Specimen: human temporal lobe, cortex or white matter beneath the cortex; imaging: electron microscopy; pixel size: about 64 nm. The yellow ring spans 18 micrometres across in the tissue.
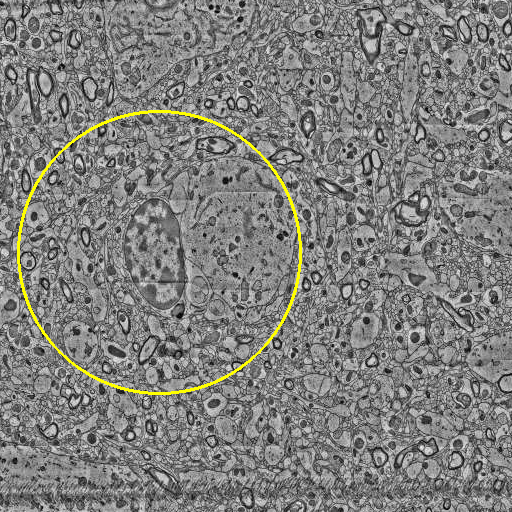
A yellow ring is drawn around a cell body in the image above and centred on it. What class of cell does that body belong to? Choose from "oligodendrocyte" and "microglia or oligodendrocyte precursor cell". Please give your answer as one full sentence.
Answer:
The yellow ring above is centred on the cell body of a microglial cell or oligodendrocyte precursor cell.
